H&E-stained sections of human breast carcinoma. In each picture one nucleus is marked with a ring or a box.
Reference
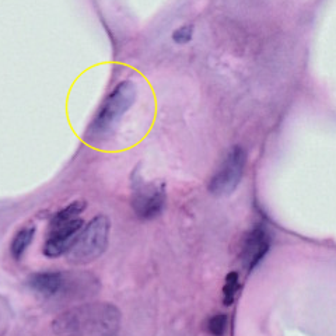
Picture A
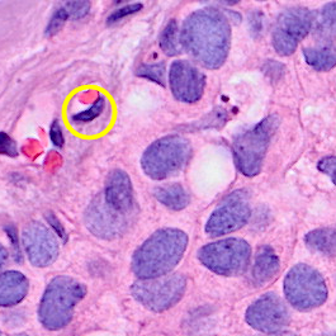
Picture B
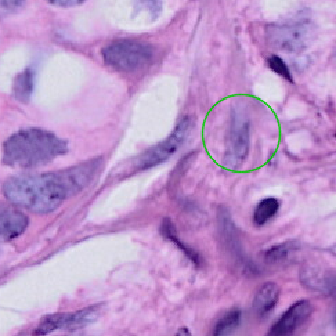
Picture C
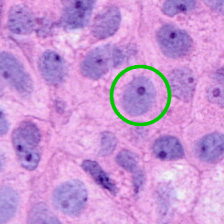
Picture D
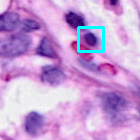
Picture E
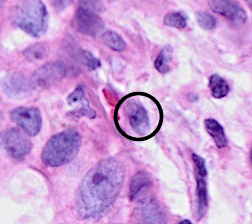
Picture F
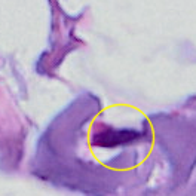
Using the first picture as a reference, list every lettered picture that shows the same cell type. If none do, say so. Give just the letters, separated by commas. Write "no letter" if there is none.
B, F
